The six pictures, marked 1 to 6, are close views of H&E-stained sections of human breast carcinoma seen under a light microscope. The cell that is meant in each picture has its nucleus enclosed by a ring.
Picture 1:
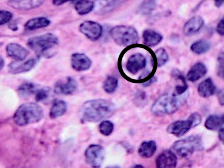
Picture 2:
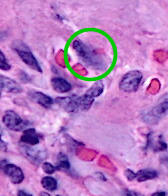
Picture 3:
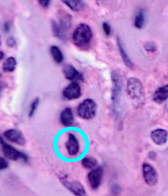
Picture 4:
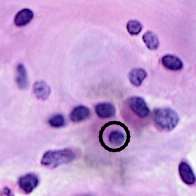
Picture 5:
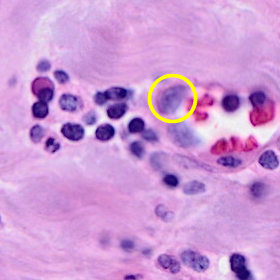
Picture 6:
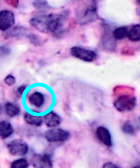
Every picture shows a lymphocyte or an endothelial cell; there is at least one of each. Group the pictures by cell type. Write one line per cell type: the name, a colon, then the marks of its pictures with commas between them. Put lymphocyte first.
lymphocyte: 1, 3, 4, 6
endothelial cell: 2, 5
